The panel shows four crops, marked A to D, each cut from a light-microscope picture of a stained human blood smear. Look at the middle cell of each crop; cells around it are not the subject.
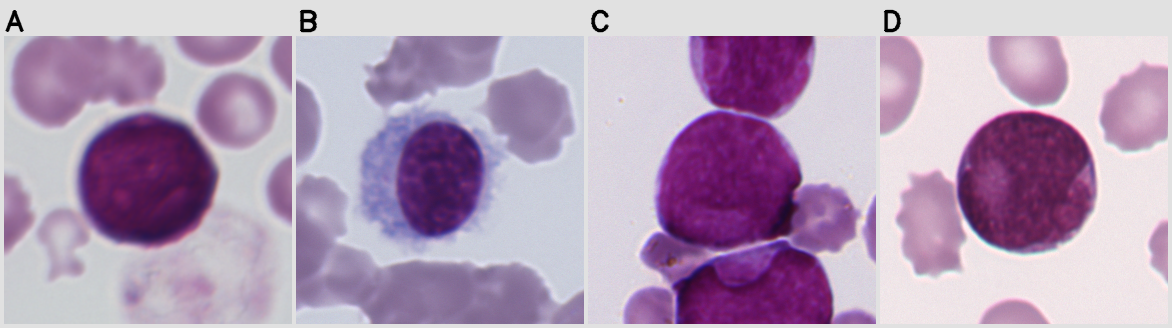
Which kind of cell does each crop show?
A: myeloblast
B: hairy cell
C: myeloblast
D: myeloblast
